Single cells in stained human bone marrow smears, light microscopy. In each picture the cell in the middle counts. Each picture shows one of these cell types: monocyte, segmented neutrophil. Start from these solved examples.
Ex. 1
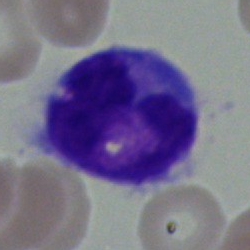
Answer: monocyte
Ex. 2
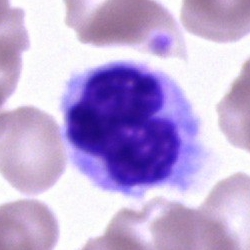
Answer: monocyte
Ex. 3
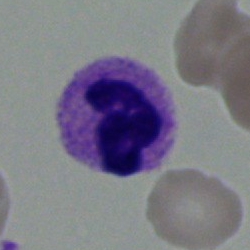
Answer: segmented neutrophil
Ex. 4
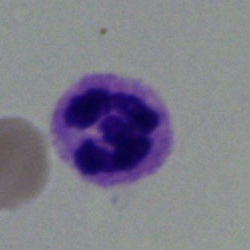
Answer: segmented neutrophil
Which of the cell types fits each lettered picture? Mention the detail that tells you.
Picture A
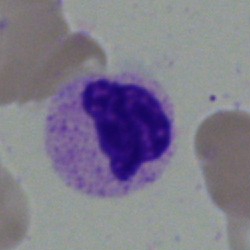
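Label: segmented neutrophil. Fine purple granules are scattered throughout the cytoplasm.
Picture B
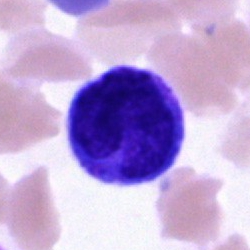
Label: monocyte. Cytoplasm is scant, forming at most a thin rim around the nucleus.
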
